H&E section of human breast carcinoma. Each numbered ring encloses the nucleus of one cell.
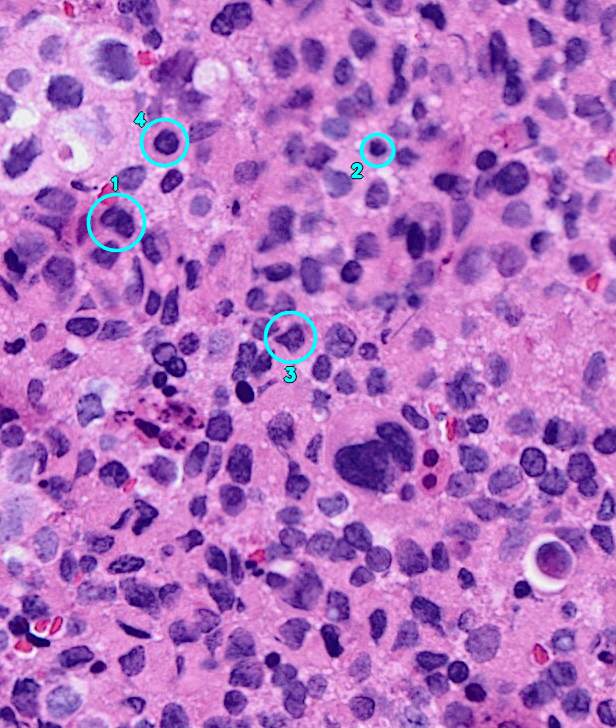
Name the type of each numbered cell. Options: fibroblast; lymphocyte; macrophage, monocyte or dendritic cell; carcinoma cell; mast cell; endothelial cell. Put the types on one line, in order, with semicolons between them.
carcinoma cell; lymphocyte; carcinoma cell; carcinoma cell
